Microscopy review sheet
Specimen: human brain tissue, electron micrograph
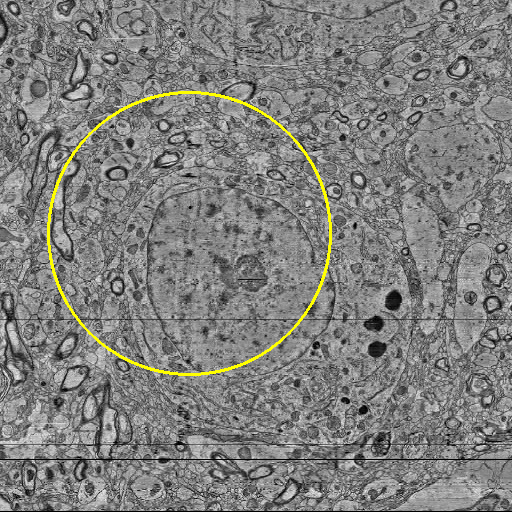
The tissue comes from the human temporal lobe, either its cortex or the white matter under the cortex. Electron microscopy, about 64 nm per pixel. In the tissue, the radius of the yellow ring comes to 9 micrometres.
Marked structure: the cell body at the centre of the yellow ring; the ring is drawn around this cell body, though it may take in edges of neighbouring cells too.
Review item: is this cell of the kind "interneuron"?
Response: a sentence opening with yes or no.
Yes, this cell is of that kind.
